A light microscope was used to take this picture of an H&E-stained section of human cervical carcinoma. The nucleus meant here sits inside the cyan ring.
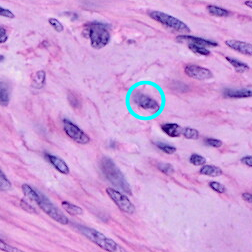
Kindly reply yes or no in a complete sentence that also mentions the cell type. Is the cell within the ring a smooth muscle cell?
Yes, where cell type is concerned, the cell within the ring is a smooth muscle cell.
